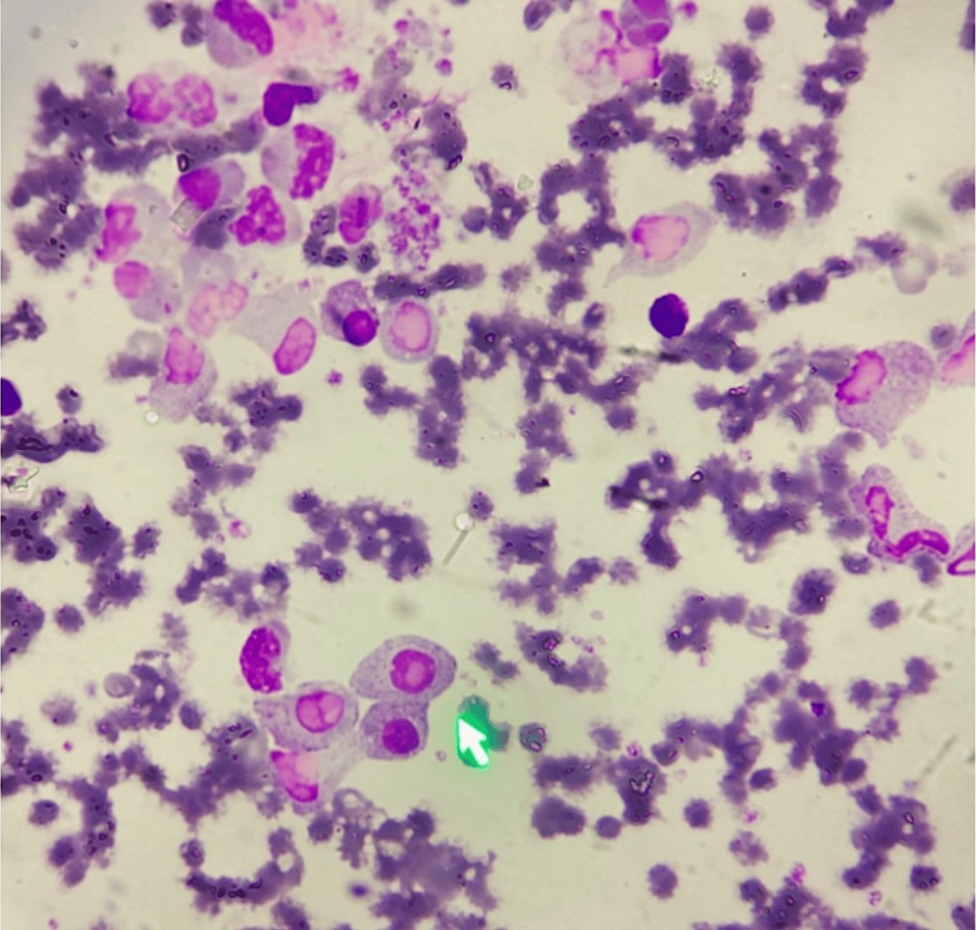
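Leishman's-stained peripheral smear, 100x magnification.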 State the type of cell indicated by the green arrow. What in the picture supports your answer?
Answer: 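A small cluster of round to oval cells lies beside the arrow tip. Each has a single round nucleus, placed off-centre in several of them. The cytoplasm is abundant and pale bluish-grey.
Answer: plasma cells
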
